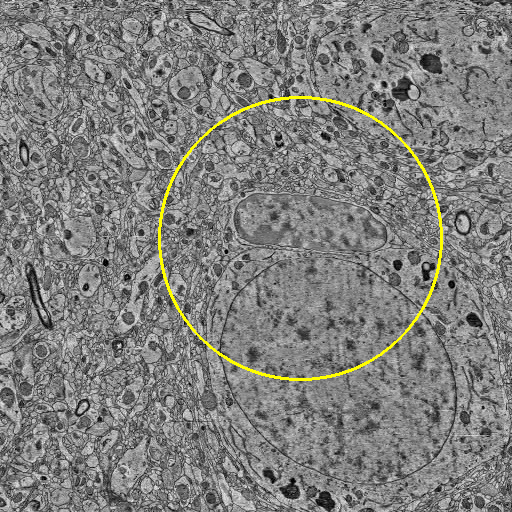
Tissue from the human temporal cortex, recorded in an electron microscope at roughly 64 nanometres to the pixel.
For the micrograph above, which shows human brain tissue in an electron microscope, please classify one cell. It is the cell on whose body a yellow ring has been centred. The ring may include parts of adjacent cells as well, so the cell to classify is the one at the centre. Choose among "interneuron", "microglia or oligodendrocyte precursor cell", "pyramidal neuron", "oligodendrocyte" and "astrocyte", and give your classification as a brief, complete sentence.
I classify this cell as a microglial cell or oligodendrocyte precursor cell.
